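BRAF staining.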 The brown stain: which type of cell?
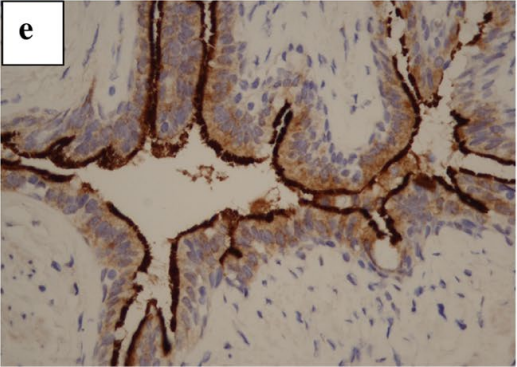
Cilia cells.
